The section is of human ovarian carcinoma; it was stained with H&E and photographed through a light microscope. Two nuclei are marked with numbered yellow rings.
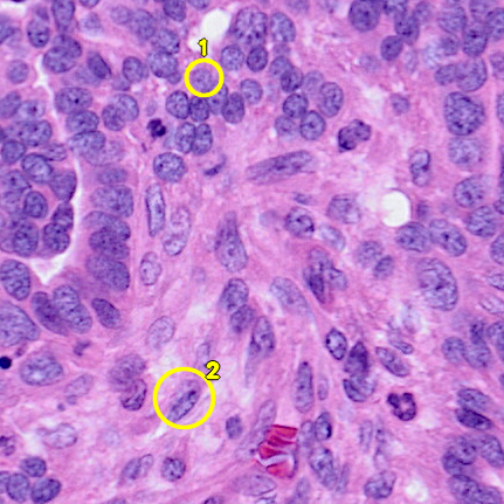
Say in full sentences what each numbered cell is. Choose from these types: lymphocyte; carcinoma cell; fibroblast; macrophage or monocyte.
Cell 1 is a carcinoma cell. Cell 2 is a fibroblast.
